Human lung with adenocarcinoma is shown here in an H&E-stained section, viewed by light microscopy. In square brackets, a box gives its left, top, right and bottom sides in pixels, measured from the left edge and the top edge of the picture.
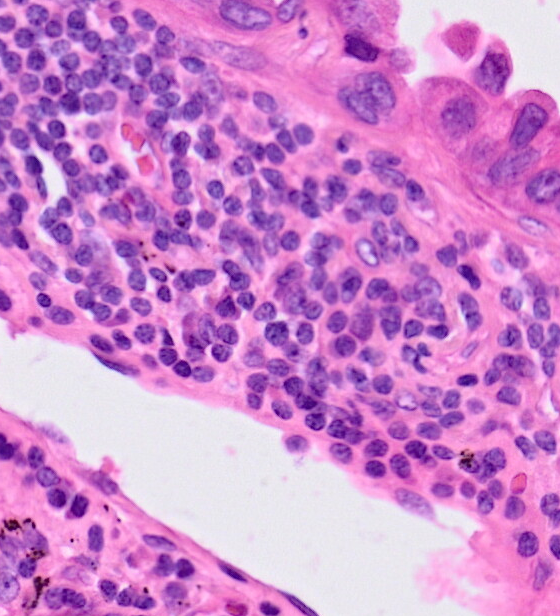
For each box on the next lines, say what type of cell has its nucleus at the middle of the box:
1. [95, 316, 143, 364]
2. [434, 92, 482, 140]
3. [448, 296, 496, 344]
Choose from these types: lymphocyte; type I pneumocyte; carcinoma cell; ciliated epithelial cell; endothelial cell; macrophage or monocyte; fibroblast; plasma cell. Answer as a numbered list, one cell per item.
1. lymphocyte
2. carcinoma cell
3. lymphocyte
